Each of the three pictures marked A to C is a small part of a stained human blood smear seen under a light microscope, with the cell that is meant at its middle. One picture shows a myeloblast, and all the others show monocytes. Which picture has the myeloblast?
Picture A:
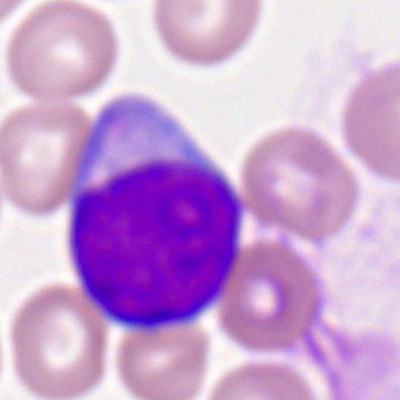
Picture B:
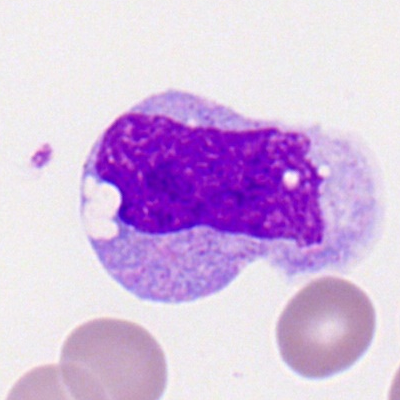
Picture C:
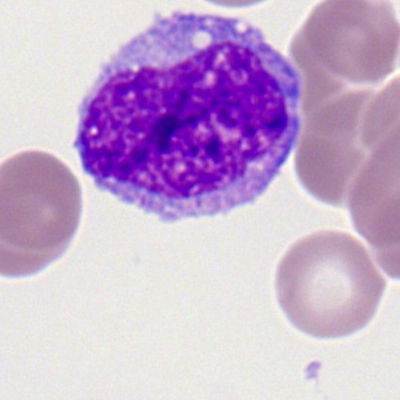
A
